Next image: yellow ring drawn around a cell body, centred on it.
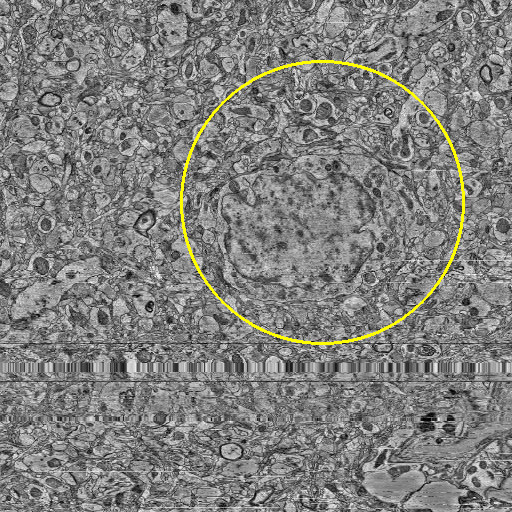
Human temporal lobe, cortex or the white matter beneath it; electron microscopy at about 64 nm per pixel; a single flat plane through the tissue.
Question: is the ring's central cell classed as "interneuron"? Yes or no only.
yes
